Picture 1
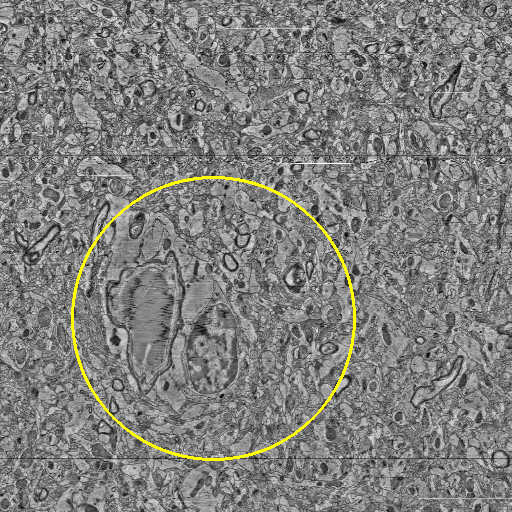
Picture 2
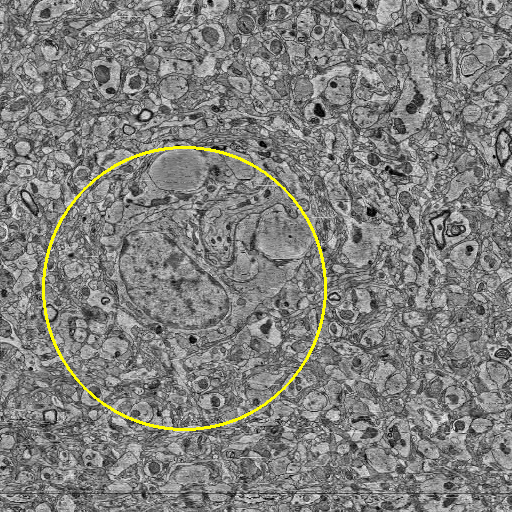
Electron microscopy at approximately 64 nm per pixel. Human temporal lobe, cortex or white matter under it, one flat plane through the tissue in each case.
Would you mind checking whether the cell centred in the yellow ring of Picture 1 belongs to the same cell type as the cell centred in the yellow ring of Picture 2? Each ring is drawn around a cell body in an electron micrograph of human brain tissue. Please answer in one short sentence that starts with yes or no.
Yes, both cells are of the same type.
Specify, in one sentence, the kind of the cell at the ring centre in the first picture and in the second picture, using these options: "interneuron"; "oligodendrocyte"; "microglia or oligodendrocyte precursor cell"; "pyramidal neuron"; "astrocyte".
The ring centre holds a microglial cell or oligodendrocyte precursor cell in each of the two pictures.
